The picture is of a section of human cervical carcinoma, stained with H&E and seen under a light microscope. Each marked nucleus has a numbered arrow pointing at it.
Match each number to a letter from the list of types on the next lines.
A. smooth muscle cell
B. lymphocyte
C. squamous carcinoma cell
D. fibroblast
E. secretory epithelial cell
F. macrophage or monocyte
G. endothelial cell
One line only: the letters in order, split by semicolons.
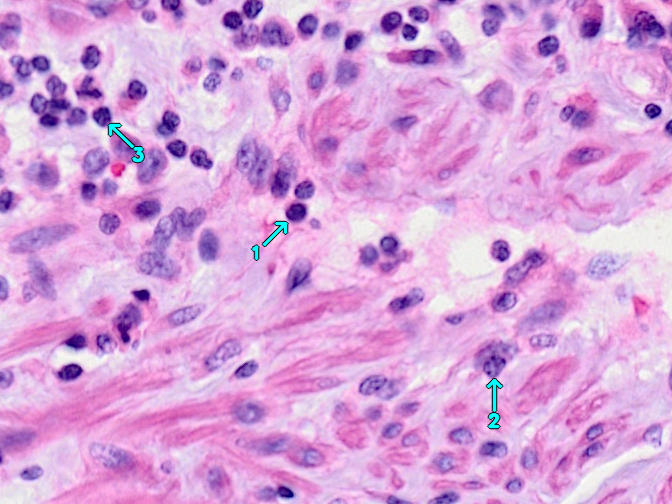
B; F; B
